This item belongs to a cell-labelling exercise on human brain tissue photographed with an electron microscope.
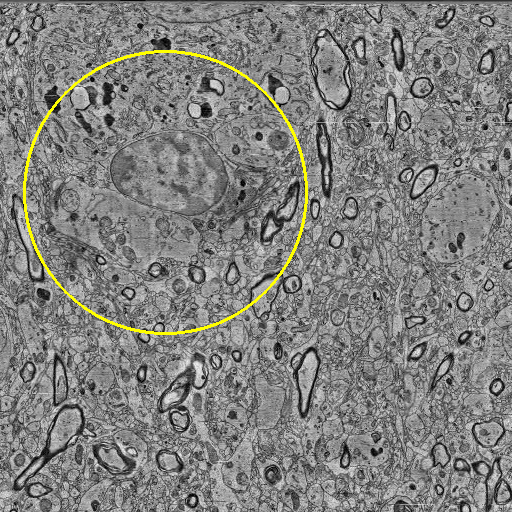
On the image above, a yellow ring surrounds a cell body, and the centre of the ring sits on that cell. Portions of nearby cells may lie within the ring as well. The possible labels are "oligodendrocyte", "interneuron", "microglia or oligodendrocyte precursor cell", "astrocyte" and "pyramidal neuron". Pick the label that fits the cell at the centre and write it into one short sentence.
This cell should be labelled as a microglial cell or oligodendrocyte precursor cell.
